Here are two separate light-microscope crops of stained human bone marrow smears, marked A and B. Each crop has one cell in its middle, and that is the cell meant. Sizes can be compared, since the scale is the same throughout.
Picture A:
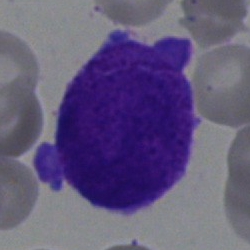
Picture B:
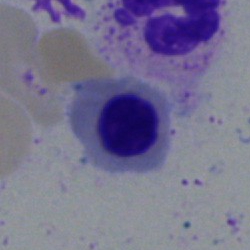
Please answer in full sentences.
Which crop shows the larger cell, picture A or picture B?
Picture A holds the larger cell; it covers about 2.5 times the area of the cell in picture B.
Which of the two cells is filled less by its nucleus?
In picture B the nucleus takes up the smaller part of its cell.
